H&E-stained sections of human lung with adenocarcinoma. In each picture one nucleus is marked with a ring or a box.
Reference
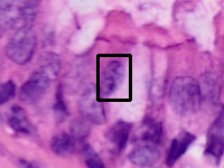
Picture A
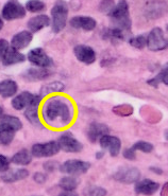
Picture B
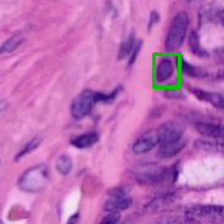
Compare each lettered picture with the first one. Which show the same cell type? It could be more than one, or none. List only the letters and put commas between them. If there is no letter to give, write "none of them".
B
